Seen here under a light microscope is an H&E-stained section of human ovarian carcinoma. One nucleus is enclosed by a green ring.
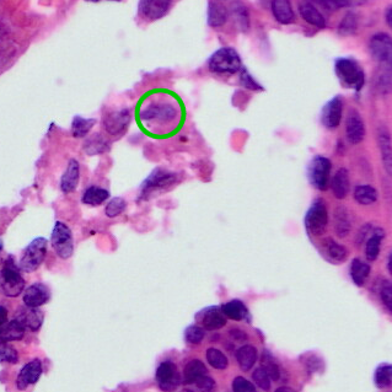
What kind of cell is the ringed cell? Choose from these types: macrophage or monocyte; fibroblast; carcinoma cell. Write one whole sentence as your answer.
Students should answer that the ringed cell is a macrophage or monocyte.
